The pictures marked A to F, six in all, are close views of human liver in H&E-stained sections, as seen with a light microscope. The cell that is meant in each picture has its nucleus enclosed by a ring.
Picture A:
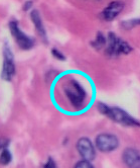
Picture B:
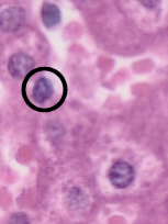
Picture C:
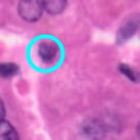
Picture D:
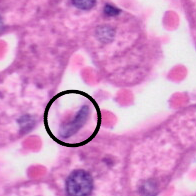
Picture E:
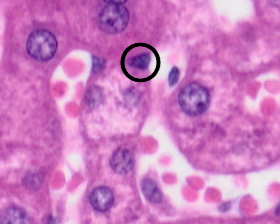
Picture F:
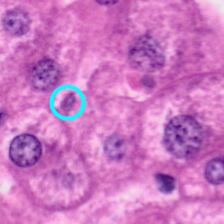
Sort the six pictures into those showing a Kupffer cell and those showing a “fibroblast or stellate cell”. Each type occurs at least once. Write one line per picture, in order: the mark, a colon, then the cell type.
A: fibroblast or stellate cell
B: fibroblast or stellate cell
C: fibroblast or stellate cell
D: Kupffer cell
E: fibroblast or stellate cell
F: Kupffer cell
